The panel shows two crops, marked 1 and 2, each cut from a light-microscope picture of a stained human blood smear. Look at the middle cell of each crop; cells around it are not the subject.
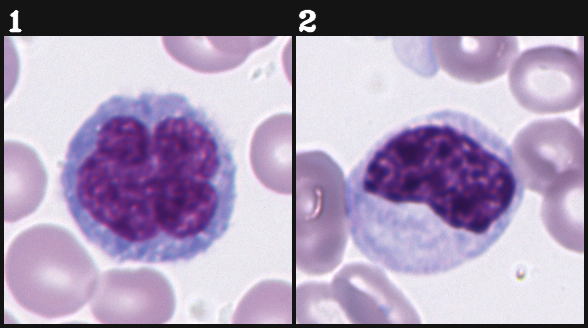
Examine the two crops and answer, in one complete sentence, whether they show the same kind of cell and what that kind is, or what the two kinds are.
No, a monocyte occupies the middle of crop 1, and a metamyelocyte the middle of crop 2.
